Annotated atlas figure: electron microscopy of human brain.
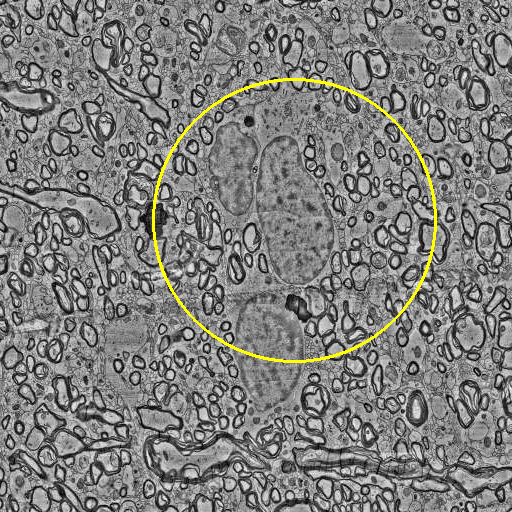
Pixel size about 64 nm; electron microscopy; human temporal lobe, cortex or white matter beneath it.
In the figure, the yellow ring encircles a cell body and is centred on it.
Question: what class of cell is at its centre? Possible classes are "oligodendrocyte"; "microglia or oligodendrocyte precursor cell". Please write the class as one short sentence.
The yellow ring is drawn around a microglial cell or oligodendrocyte precursor cell.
